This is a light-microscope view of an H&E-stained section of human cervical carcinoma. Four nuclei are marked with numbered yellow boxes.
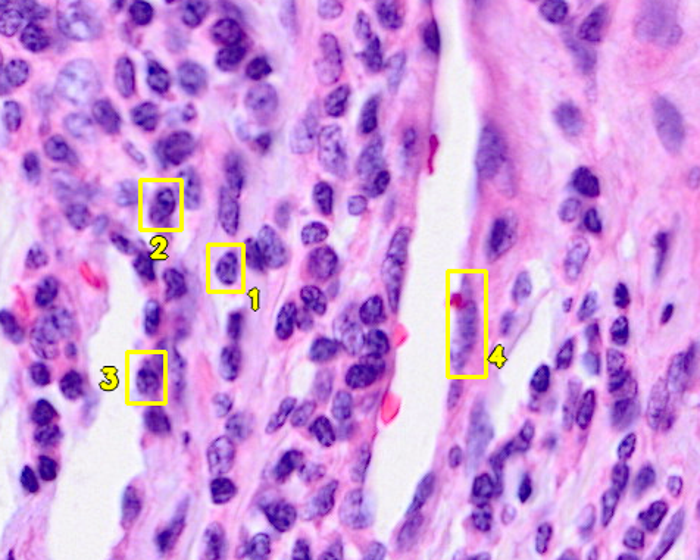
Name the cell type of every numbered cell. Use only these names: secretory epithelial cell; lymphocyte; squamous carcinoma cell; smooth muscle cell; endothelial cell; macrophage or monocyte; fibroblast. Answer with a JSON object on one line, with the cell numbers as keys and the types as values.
{"1": "lymphocyte", "2": "lymphocyte", "3": "lymphocyte", "4": "endothelial cell"}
